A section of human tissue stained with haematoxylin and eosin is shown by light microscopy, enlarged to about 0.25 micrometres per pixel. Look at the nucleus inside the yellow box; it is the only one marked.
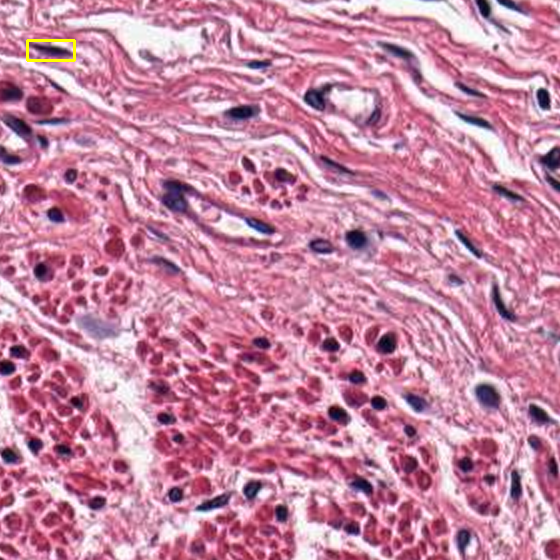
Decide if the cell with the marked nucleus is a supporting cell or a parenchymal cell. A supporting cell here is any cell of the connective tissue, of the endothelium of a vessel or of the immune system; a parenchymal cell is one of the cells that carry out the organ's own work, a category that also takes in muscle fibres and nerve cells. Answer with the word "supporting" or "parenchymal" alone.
supporting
